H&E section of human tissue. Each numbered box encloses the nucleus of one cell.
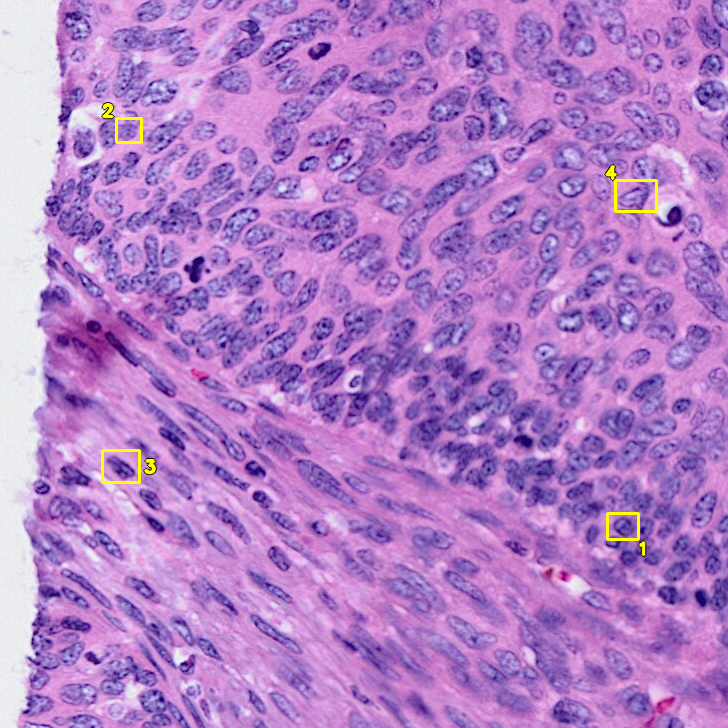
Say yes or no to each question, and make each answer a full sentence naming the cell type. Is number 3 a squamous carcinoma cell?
No, cell 3 counts as a lymphocyte rather than as a squamous carcinoma cell.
